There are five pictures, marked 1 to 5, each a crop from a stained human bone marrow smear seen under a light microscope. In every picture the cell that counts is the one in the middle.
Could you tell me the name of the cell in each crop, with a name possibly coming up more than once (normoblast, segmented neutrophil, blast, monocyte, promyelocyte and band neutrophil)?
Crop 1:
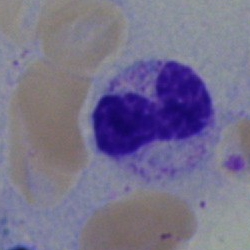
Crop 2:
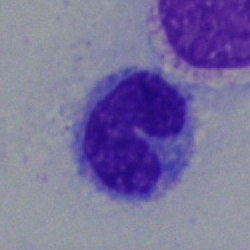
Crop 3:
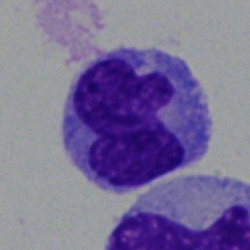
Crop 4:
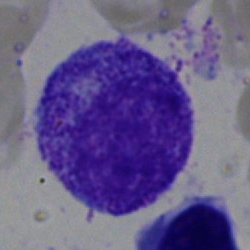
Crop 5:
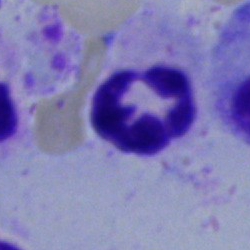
1: band neutrophil
2: monocyte
3: monocyte
4: promyelocyte
5: segmented neutrophil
